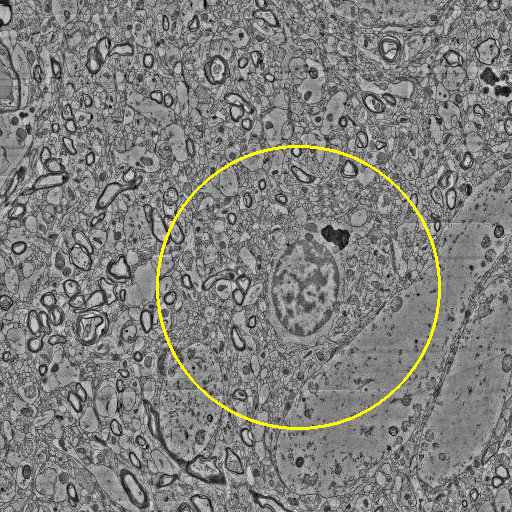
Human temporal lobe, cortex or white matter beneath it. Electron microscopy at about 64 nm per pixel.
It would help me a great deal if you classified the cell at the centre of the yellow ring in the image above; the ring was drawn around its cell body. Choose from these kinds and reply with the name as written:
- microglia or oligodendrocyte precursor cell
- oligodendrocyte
oligodendrocyte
